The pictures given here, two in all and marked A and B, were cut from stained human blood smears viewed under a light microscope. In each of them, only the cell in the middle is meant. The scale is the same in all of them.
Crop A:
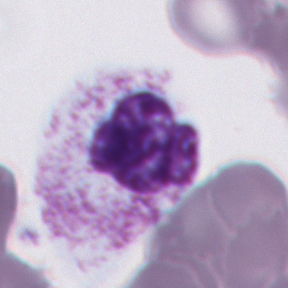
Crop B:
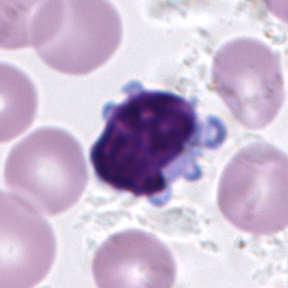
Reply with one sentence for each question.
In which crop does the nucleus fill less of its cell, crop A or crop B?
Of the two, the nucleus in crop A leaves more room for cytoplasm.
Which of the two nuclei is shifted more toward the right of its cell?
The nucleus in crop A lies further toward the right of its cell.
